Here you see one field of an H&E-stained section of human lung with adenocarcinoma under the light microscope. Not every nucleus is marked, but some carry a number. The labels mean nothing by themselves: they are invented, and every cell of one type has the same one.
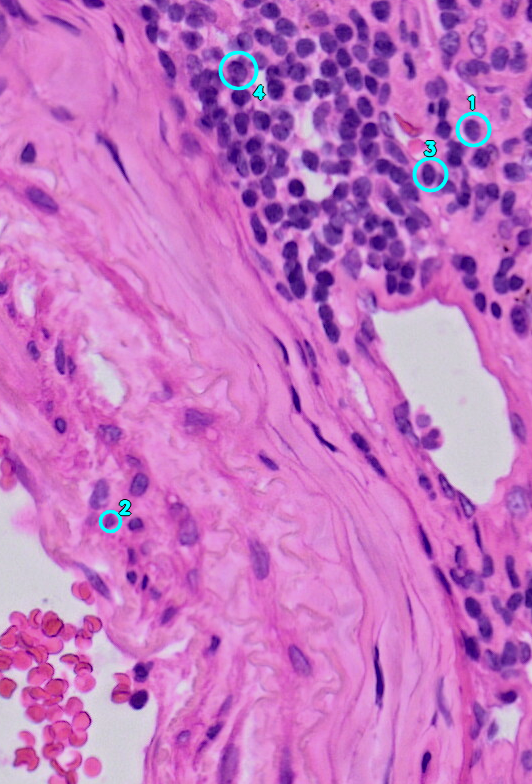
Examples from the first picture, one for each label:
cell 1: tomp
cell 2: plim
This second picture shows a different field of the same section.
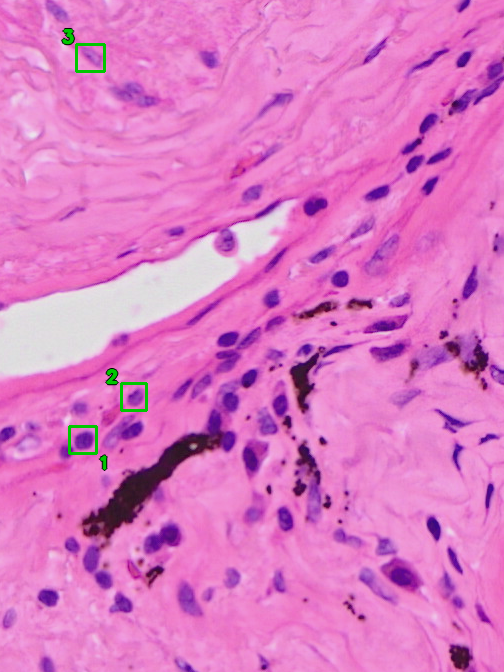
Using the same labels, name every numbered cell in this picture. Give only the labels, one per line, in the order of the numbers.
tomp
tomp
plim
